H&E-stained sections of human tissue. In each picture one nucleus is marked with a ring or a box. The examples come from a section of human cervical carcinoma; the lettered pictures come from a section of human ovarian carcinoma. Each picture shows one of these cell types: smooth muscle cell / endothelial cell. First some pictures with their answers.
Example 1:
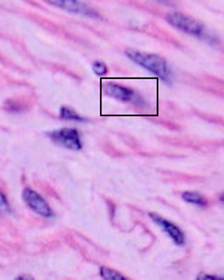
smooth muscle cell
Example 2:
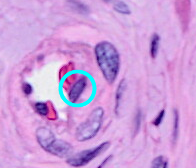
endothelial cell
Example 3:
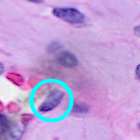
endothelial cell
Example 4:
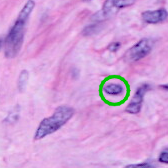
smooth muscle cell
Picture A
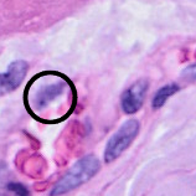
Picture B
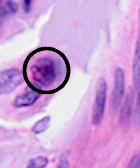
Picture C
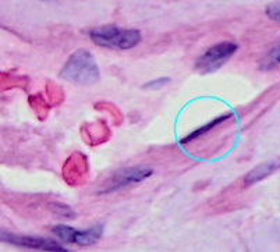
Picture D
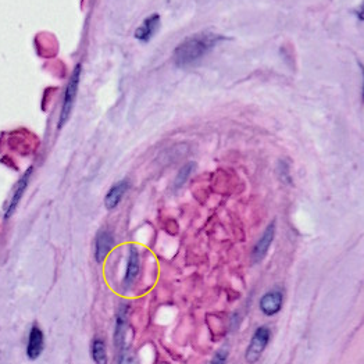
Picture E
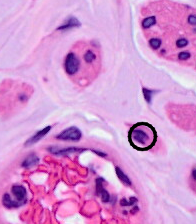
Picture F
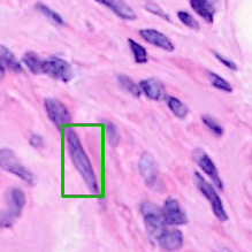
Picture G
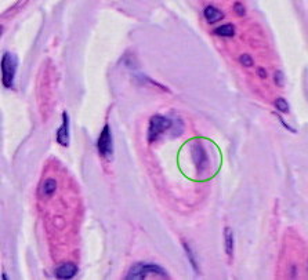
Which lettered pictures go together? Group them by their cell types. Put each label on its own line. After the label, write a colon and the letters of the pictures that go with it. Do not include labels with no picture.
smooth muscle cell: E, F
endothelial cell: A, B, C, D, G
